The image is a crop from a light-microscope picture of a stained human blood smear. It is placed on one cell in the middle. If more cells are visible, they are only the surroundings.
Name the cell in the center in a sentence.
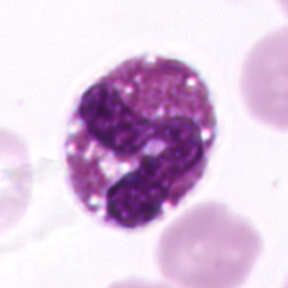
The crop's centre is taken up by an eosinophil.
